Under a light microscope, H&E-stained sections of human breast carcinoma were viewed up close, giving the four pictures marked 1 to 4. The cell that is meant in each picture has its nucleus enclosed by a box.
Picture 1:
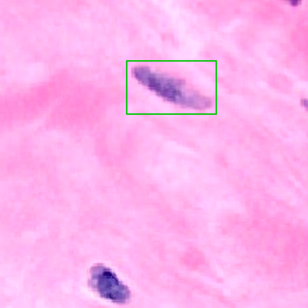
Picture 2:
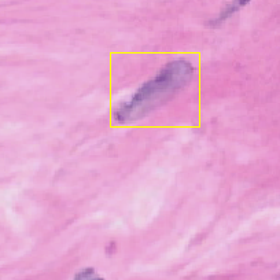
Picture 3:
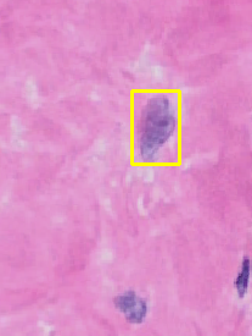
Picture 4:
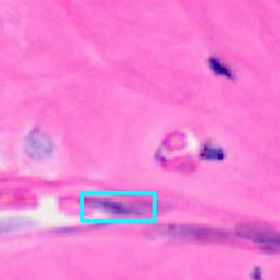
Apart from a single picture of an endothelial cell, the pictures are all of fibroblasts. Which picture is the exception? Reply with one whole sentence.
Picture 4 is the one that shows the endothelial cell.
